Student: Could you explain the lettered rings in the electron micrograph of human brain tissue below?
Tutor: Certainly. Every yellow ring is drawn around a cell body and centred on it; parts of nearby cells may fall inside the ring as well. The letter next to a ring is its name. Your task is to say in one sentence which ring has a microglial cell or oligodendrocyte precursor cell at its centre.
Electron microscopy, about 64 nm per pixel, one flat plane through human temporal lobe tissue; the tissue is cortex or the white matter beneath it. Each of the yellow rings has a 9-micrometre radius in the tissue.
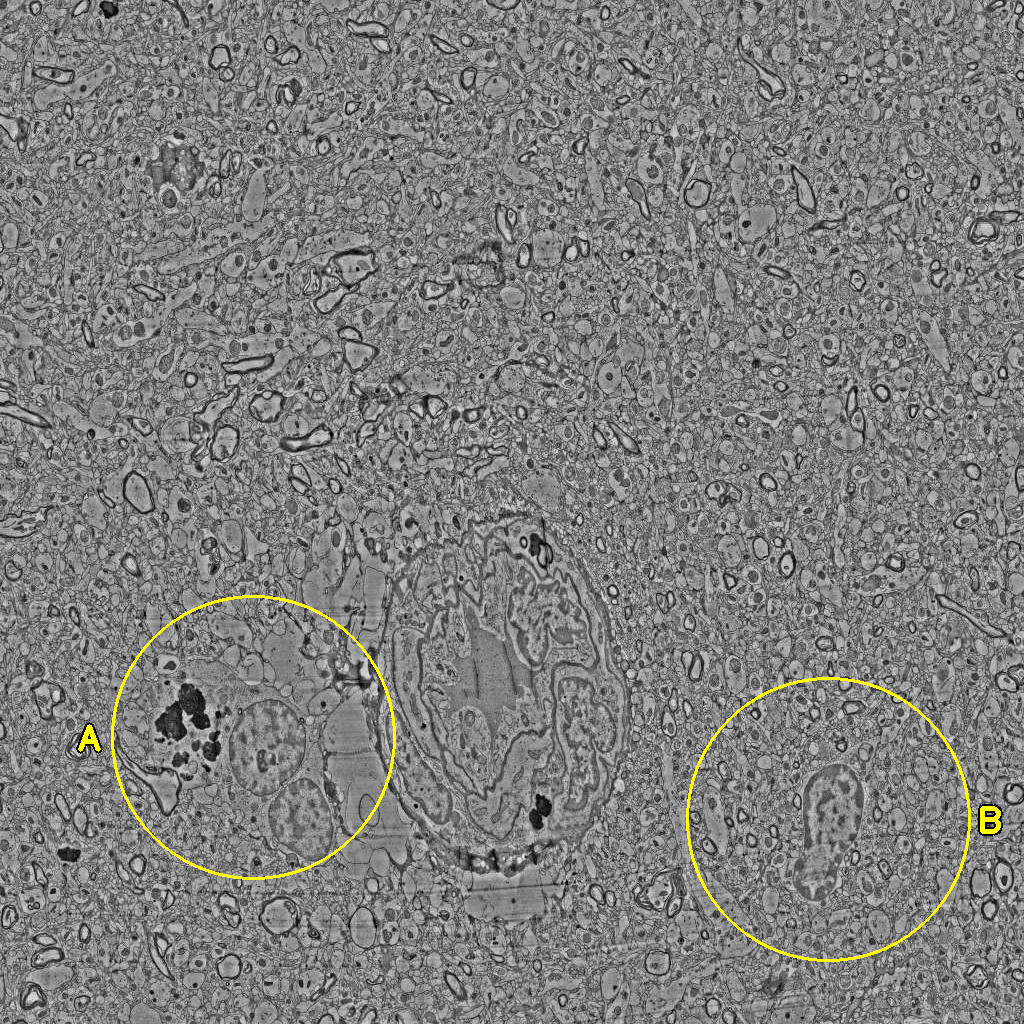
The cell at the centre of ring B is the one.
